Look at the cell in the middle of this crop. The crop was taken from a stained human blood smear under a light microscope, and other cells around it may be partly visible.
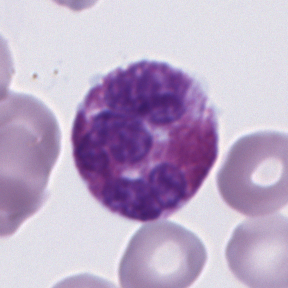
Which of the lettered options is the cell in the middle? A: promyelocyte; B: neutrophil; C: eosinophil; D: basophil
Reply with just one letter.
C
